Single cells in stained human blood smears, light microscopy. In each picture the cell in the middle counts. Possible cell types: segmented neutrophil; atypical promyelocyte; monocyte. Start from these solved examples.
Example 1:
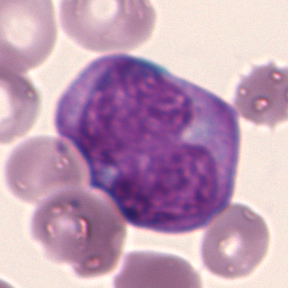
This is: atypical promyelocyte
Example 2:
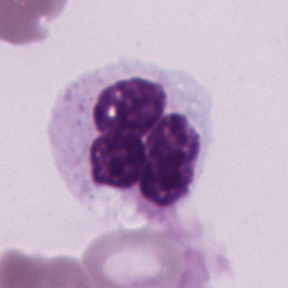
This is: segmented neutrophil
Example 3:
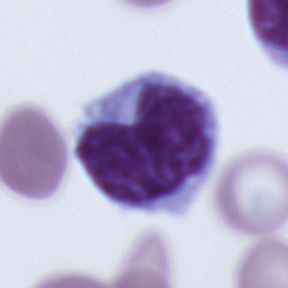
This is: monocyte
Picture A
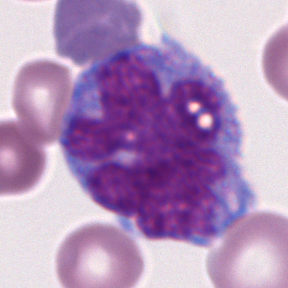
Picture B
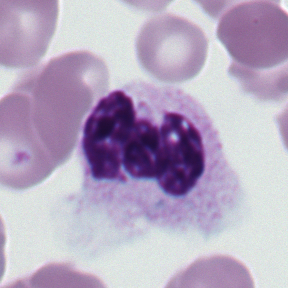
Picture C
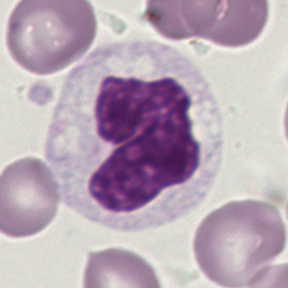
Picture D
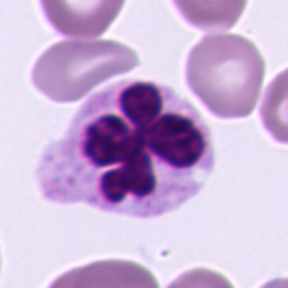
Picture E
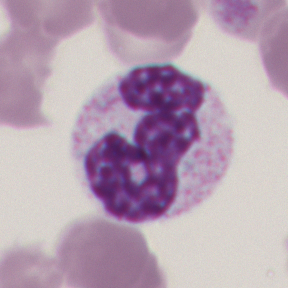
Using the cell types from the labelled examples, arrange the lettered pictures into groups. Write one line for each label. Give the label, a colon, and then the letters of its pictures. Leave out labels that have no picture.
segmented neutrophil: B, C, D, E
monocyte: A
